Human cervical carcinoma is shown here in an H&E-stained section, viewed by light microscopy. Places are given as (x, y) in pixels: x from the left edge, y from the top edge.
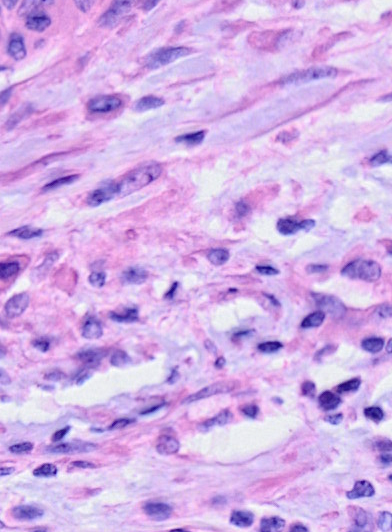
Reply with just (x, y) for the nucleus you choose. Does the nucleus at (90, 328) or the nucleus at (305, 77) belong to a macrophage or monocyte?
(90, 328)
